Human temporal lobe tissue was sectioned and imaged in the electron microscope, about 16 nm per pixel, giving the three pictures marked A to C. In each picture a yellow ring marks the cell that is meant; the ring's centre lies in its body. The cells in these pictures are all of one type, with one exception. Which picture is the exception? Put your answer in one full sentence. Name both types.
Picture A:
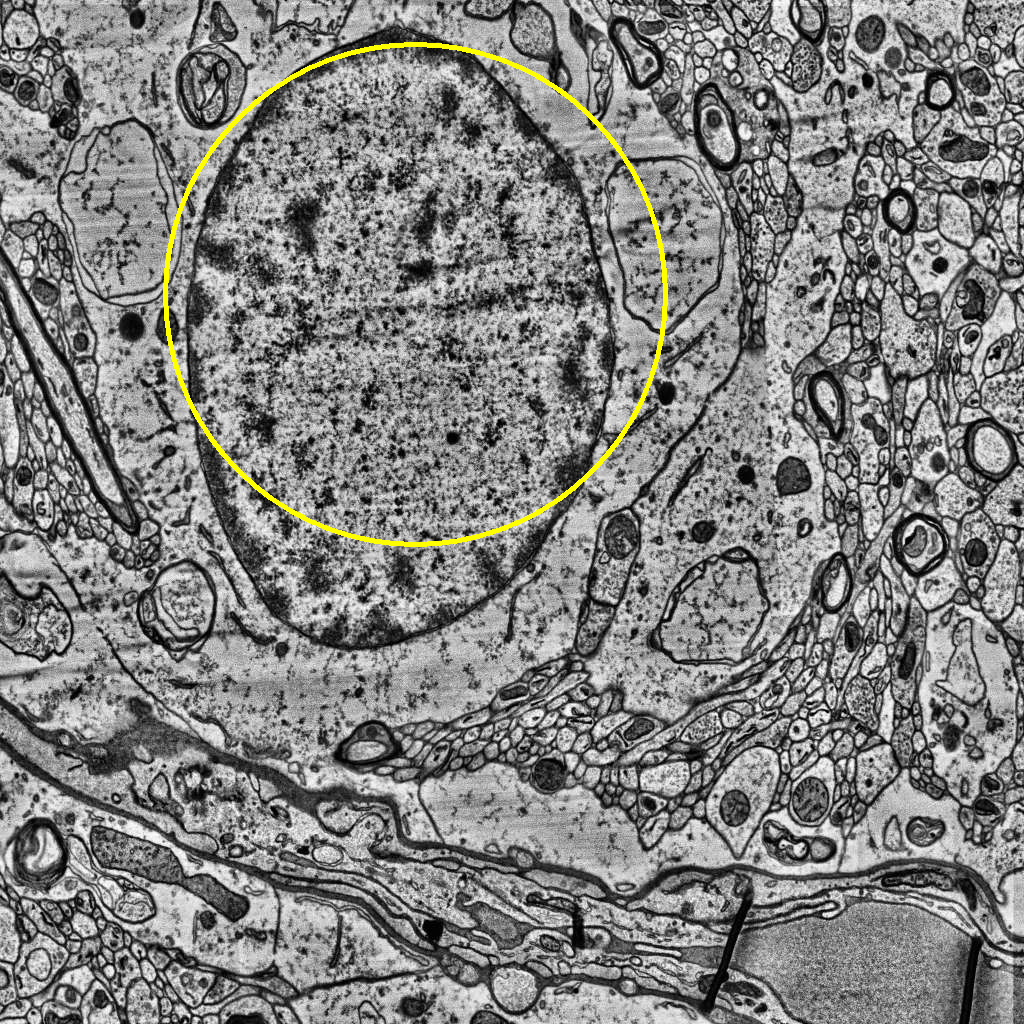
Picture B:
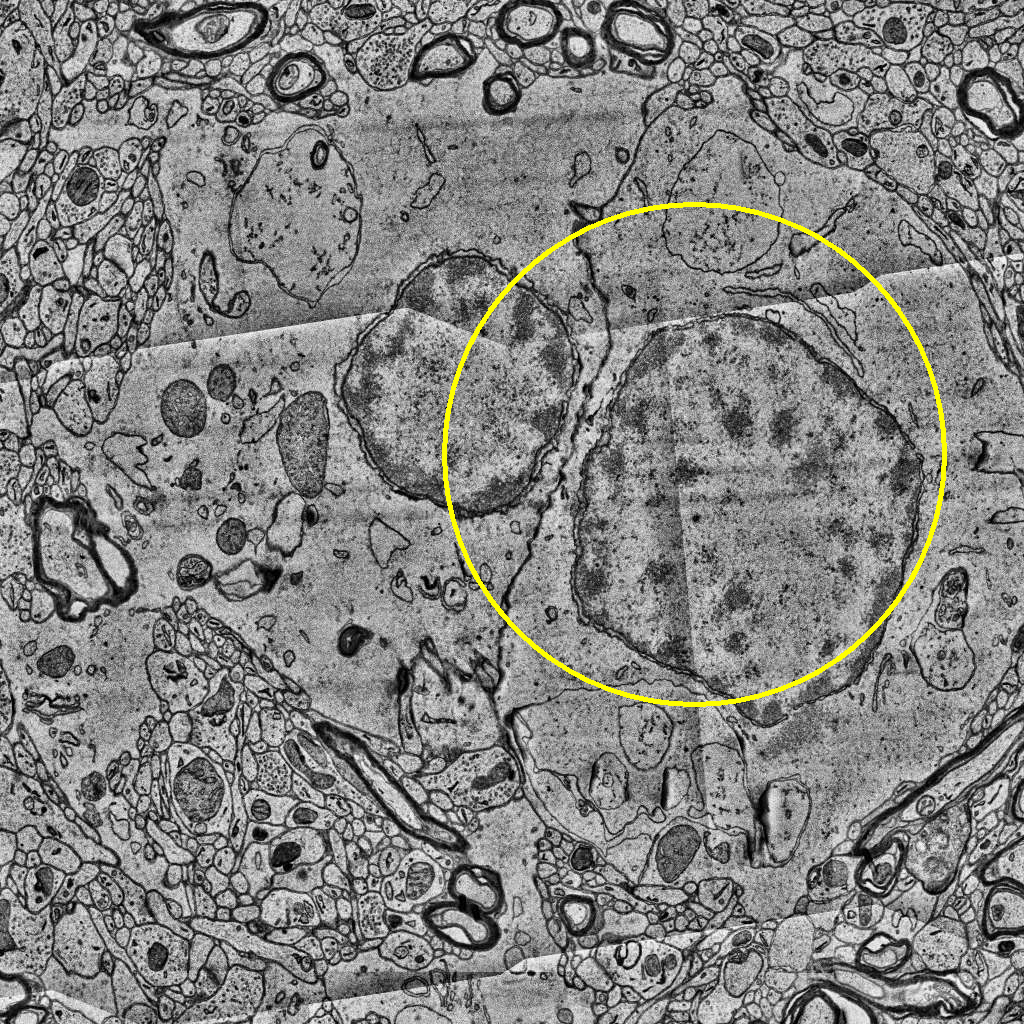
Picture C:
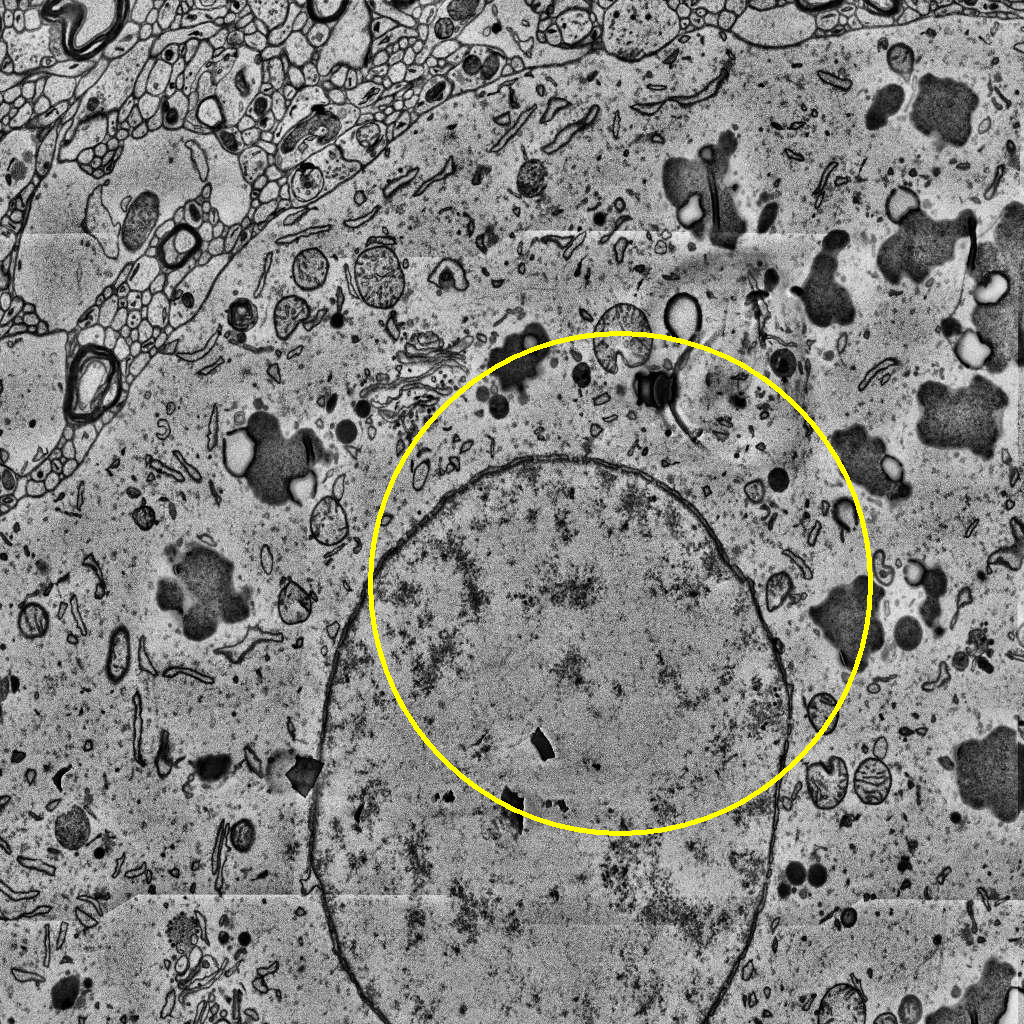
All pictures except C show astrocytes; picture C shows a pyramidal neuron.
